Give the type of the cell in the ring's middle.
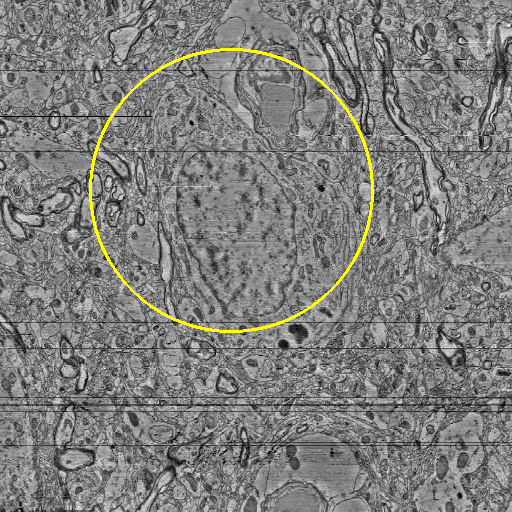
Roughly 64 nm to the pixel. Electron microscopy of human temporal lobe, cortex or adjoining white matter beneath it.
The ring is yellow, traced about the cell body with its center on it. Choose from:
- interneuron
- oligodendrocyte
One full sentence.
Here, an interneuron is the cell lying at the center of the yellow ring.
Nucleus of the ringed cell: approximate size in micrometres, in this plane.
Clearly longer than it is wide in this plane, the nucleus measures roughly 12 by 7 micrometres.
